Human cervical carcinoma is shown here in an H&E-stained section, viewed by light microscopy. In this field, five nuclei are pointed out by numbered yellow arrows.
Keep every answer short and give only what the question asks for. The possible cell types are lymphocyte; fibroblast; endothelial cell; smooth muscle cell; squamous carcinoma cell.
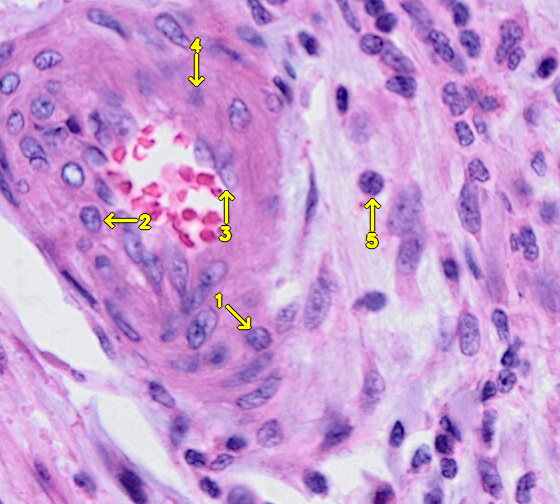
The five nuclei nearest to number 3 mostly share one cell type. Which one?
smooth muscle cell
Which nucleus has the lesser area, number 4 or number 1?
4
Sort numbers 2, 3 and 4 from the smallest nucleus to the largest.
4, 2, 3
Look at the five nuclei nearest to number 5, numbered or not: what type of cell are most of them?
fibroblast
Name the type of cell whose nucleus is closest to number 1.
smooth muscle cell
